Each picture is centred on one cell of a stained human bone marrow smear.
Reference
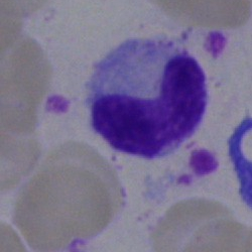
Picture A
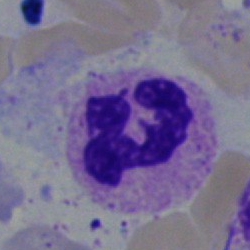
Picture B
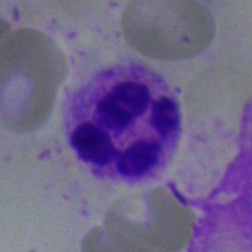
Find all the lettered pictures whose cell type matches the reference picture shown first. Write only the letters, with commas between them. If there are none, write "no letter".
no letter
